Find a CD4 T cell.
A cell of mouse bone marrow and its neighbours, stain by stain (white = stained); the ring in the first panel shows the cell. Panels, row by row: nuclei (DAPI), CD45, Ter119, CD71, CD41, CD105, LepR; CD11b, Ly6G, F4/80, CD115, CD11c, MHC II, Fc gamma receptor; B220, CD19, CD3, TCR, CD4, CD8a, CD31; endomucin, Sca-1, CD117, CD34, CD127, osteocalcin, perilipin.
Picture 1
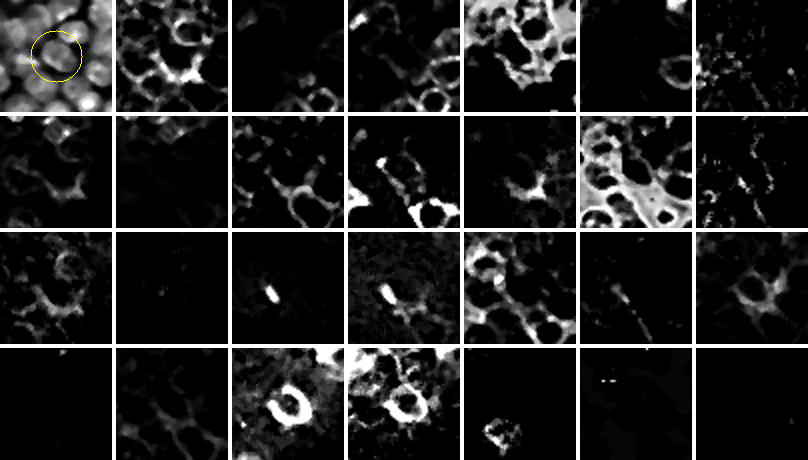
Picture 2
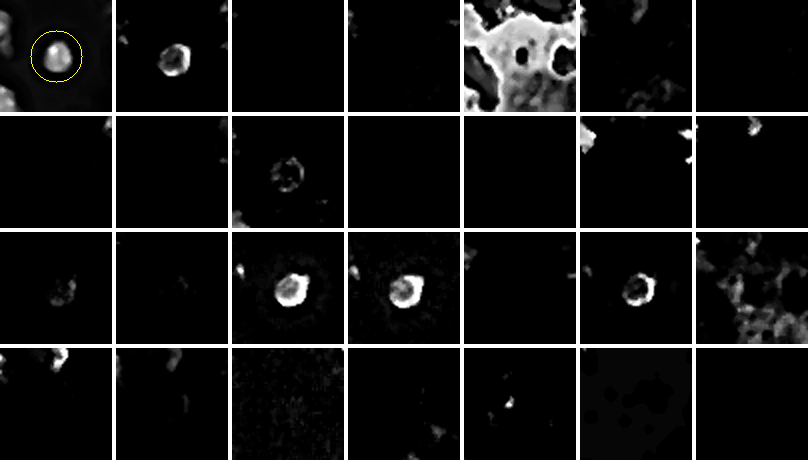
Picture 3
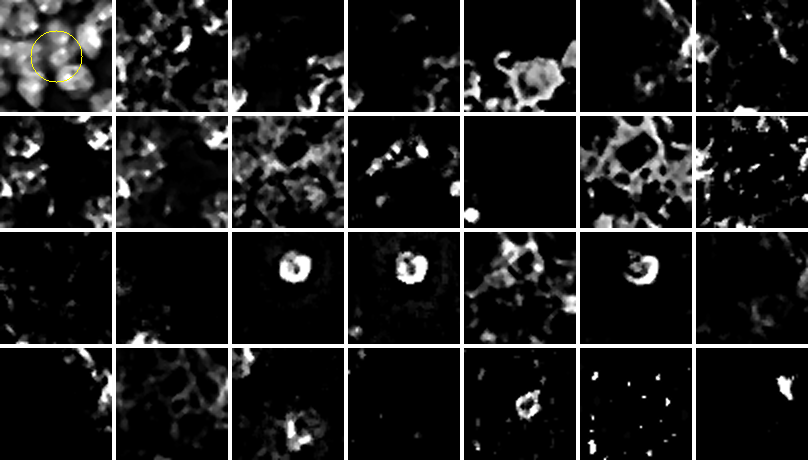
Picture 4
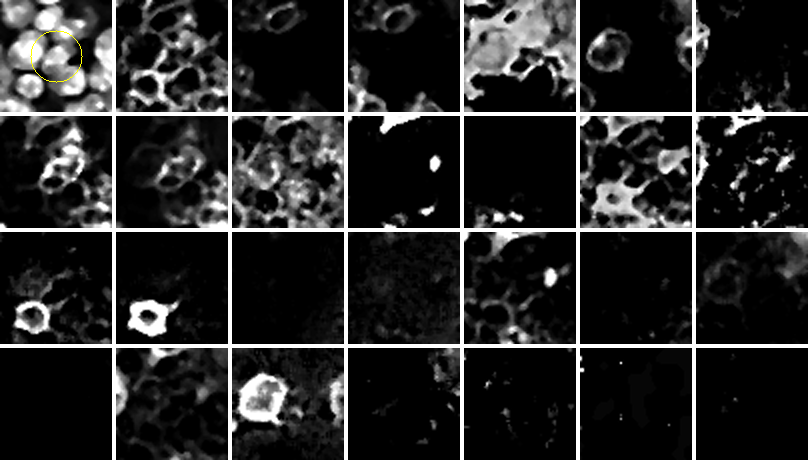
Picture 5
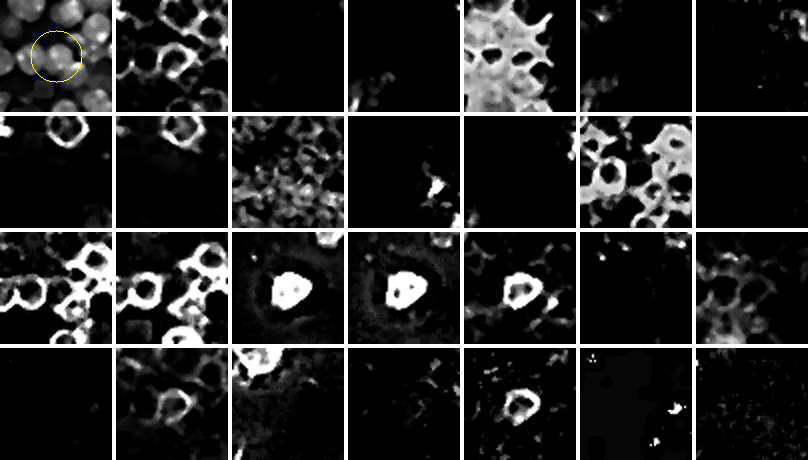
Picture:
5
